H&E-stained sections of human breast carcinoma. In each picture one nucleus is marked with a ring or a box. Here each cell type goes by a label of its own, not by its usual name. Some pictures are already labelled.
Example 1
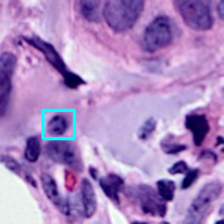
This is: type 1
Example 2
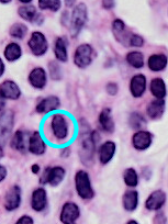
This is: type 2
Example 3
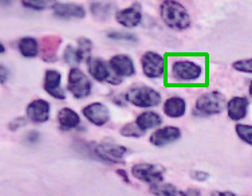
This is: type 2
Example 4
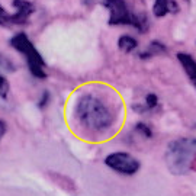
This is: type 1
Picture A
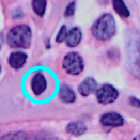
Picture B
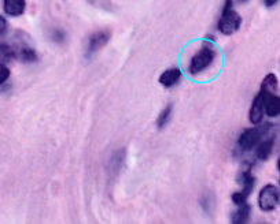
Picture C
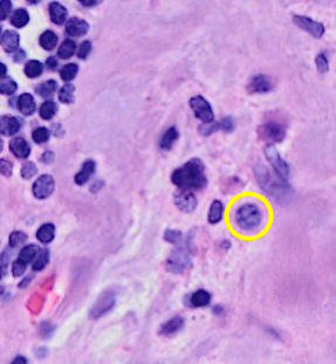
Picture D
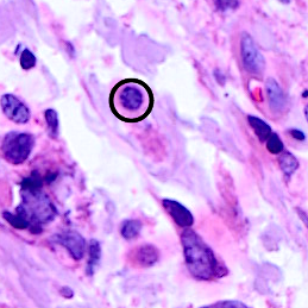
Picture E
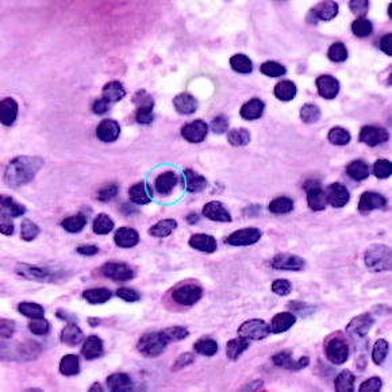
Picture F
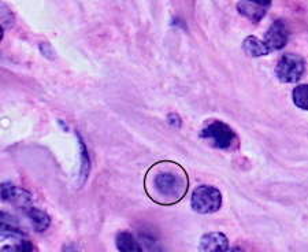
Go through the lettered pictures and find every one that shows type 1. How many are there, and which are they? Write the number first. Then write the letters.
Count: 3 (C, D, F)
